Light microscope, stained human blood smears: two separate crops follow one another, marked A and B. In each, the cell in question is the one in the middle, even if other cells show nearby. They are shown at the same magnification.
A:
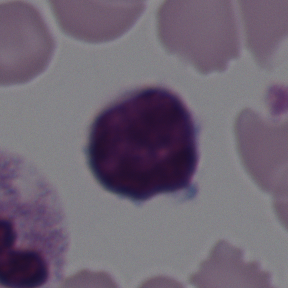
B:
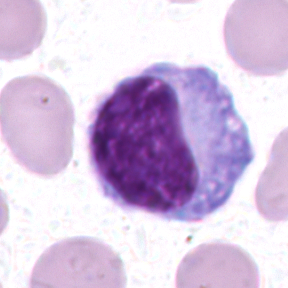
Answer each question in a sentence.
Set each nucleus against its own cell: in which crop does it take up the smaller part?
The nucleus fills less of the cell in picture B than in picture A.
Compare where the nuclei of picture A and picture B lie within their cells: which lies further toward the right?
In picture A the nucleus is shifted more toward the right.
